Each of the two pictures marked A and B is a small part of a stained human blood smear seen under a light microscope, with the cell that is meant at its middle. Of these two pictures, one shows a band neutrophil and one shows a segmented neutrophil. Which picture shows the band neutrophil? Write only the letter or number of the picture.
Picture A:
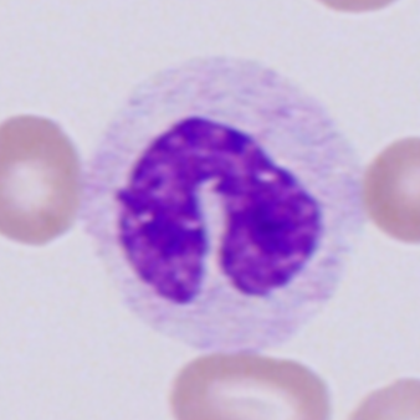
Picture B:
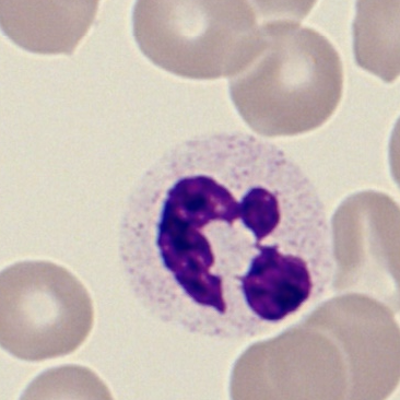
A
